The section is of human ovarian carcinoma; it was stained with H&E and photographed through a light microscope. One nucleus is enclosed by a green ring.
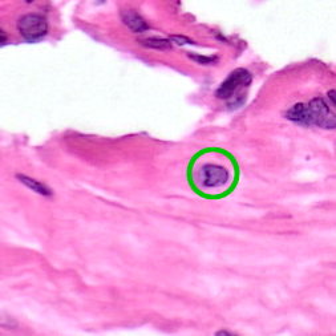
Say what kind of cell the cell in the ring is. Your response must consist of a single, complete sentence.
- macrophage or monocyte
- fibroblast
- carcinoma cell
Labelled by cell type, the cell in the ring is a macrophage or monocyte.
